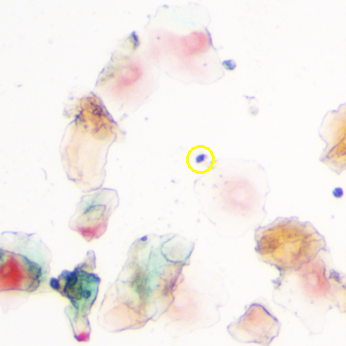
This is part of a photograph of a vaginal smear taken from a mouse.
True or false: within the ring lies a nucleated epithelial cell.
False: a leukocyte lies within the ring.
